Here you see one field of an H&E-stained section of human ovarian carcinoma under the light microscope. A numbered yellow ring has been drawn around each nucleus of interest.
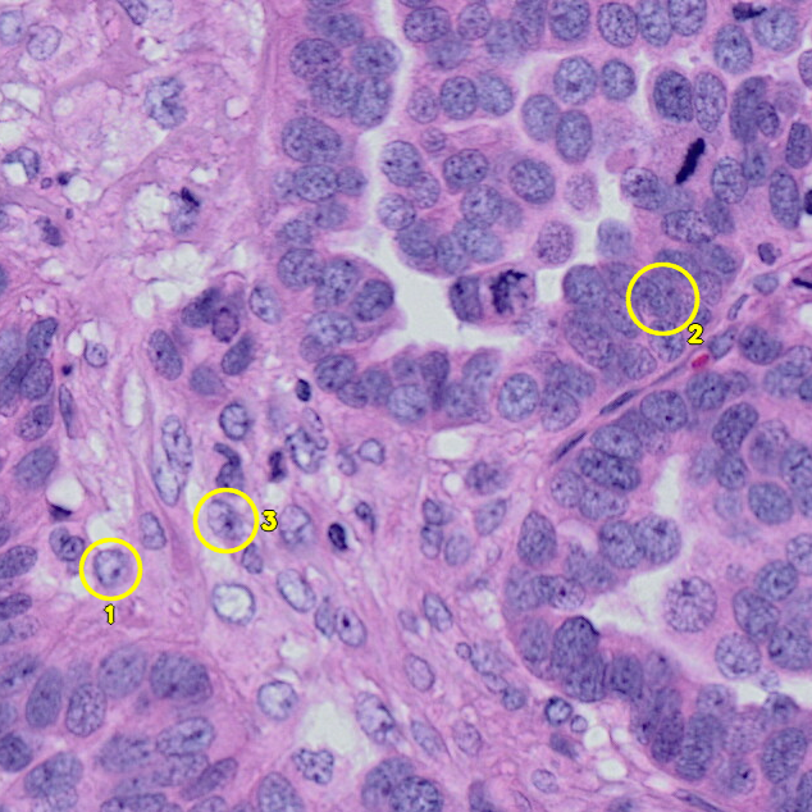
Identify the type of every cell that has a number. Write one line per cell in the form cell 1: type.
cell 1: fibroblast
cell 2: carcinoma cell
cell 3: fibroblast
